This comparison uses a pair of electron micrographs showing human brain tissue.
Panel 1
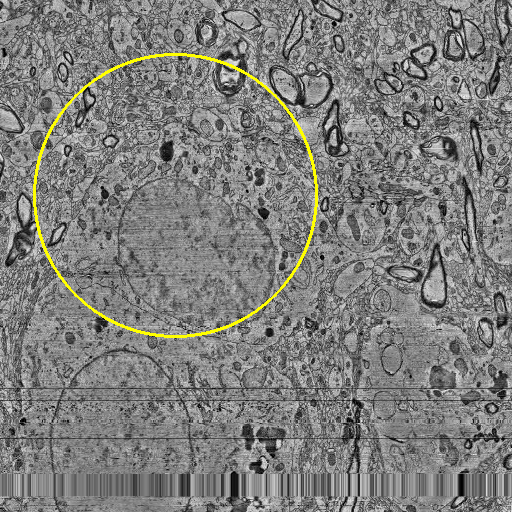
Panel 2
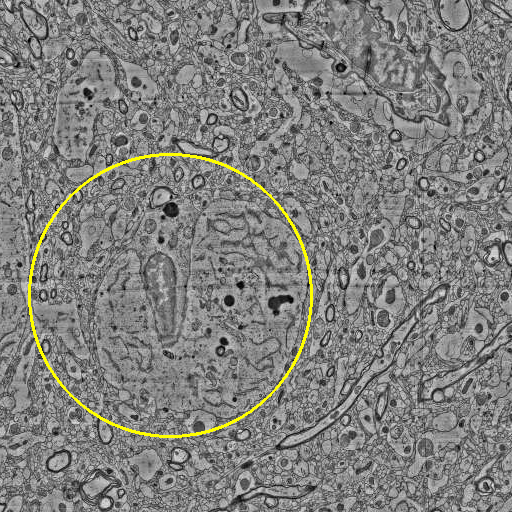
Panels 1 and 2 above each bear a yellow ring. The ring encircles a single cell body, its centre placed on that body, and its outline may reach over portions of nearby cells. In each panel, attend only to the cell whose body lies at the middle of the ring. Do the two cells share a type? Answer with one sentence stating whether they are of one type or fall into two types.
In Panel 1 and Panel 2, the cells at the centres of the rings fall into two types.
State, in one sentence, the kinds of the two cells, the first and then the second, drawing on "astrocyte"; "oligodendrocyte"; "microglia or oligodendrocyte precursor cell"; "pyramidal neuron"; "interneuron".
The ring in the second picture is centred on an oligodendrocyte, the ring in the first on an interneuron.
